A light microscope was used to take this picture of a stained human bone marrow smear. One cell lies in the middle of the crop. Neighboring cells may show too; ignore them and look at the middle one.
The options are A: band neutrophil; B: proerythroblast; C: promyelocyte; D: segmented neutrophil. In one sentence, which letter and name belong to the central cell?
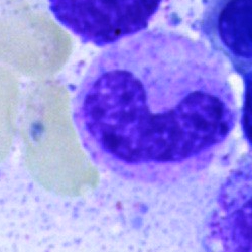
Option A is right, the centrally situated cell being a band neutrophil.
